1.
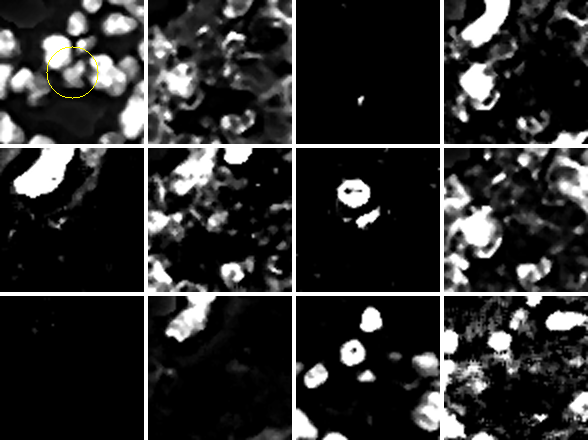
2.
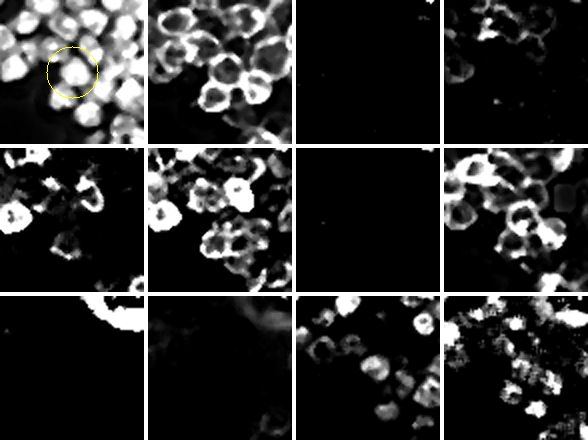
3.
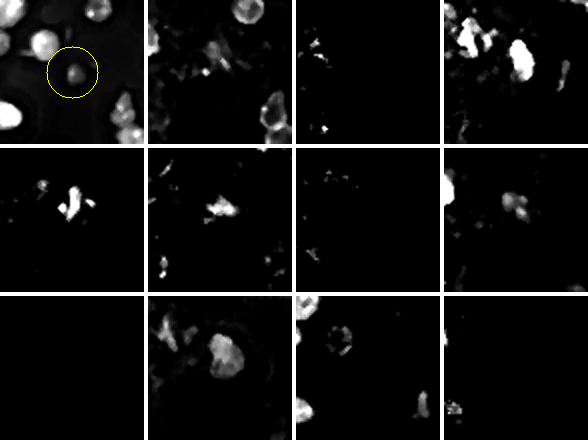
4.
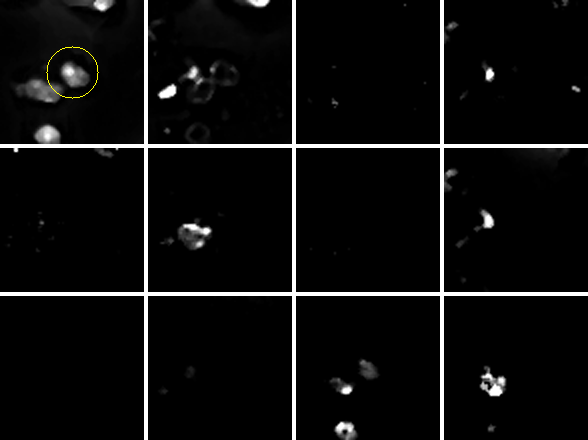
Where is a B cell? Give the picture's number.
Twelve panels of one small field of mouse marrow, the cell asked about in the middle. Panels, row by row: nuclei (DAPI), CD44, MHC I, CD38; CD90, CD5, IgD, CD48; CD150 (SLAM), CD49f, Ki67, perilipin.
1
